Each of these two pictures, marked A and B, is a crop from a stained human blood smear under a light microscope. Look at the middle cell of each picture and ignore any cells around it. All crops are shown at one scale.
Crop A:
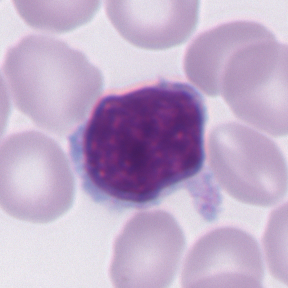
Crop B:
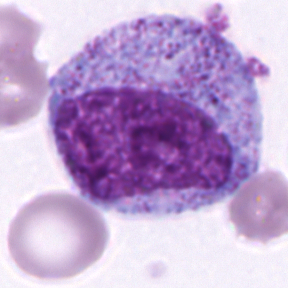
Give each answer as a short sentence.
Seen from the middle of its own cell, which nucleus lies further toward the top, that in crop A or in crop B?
The nucleus in crop A lies further toward the top of its cell.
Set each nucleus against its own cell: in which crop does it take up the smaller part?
In crop B the nucleus takes up the smaller part of its cell.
